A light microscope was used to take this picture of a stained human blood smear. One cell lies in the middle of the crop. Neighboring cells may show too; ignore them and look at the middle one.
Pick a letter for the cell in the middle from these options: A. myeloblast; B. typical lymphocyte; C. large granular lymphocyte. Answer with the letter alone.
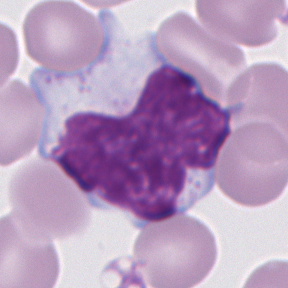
C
